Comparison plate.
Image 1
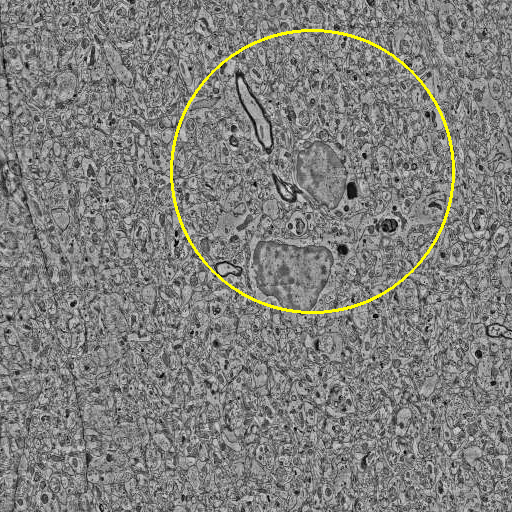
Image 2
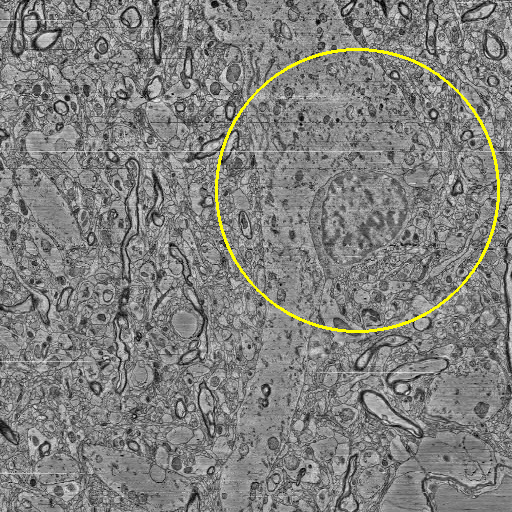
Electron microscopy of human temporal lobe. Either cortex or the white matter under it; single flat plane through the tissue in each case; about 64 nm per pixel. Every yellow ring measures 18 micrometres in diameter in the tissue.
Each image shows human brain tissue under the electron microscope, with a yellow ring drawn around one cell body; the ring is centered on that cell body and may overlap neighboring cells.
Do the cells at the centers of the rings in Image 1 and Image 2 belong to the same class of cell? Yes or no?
yes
